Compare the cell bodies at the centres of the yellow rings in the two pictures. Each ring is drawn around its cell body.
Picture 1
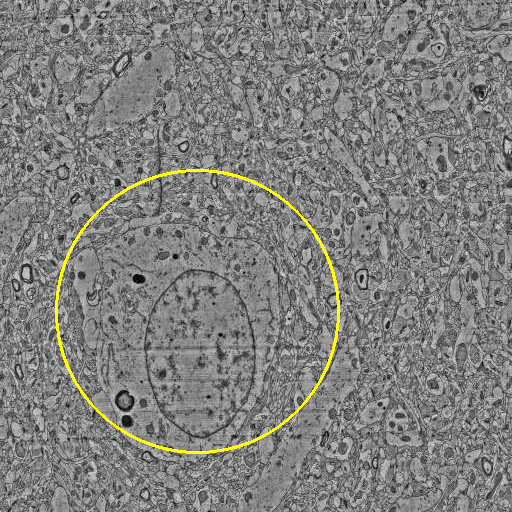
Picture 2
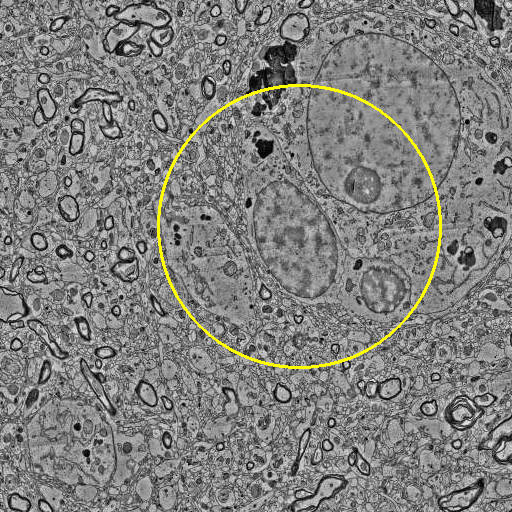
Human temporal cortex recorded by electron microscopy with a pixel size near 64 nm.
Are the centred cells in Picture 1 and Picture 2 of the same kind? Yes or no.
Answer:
no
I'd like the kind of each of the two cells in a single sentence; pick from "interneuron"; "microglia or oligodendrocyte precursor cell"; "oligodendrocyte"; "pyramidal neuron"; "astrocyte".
The first ring marks a pyramidal neuron, and the second ring marks an oligodendrocyte.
